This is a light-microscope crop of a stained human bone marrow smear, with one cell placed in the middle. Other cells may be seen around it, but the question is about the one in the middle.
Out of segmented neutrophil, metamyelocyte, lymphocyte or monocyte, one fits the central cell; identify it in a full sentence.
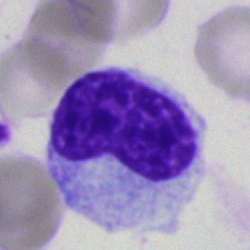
The middle position in this crop is taken by a metamyelocyte.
